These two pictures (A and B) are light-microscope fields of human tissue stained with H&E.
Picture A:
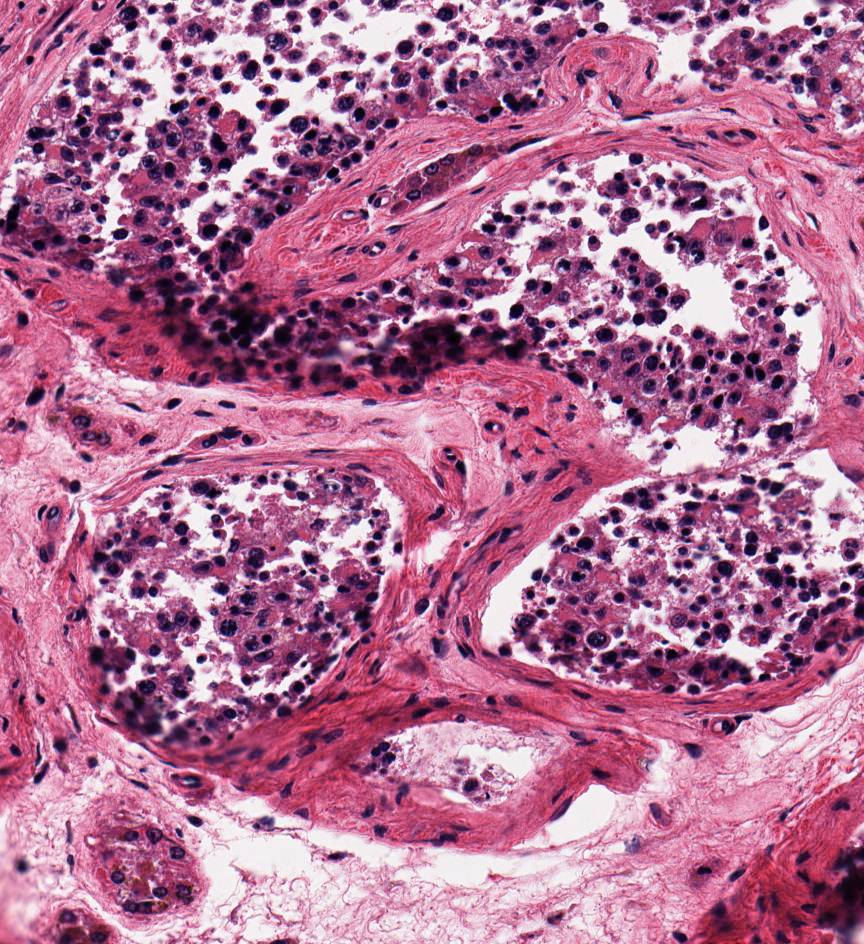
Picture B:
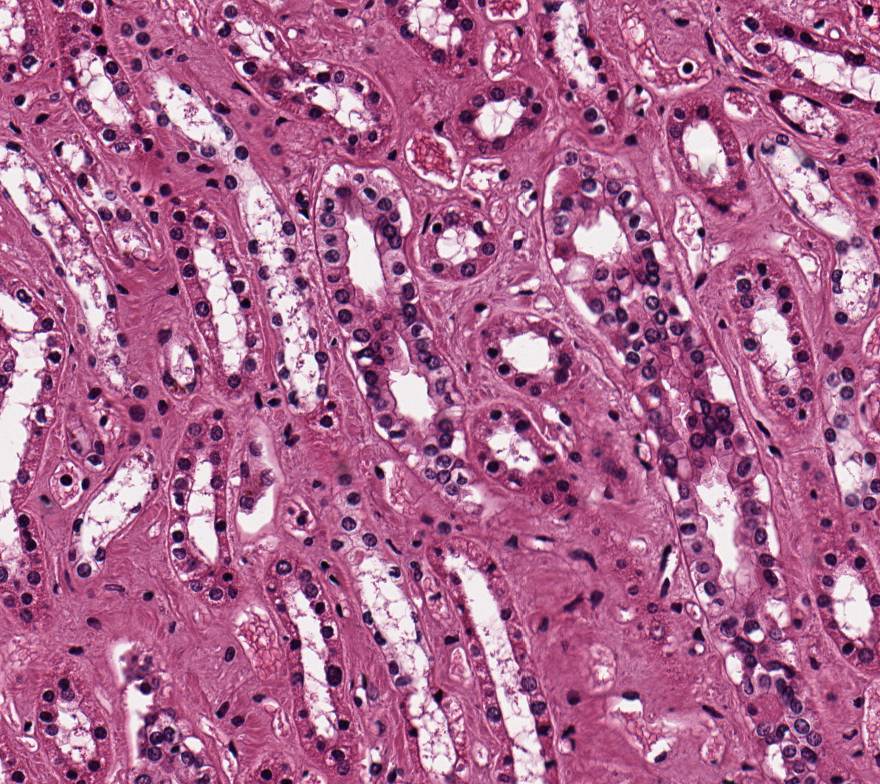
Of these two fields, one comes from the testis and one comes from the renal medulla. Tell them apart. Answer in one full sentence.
It is picture A that comes from the testis, and picture B that comes from the renal medulla.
